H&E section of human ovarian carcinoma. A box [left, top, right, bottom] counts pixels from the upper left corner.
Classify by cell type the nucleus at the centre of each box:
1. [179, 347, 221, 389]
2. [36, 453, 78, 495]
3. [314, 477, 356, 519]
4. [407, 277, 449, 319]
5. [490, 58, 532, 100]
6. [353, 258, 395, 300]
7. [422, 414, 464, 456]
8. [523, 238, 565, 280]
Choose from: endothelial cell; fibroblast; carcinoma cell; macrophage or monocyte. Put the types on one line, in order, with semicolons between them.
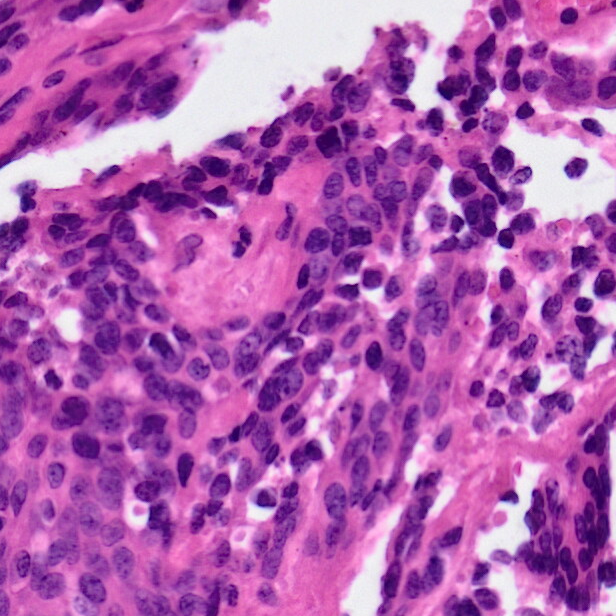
macrophage or monocyte; macrophage or monocyte; carcinoma cell; carcinoma cell; carcinoma cell; carcinoma cell; macrophage or monocyte; macrophage or monocyte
